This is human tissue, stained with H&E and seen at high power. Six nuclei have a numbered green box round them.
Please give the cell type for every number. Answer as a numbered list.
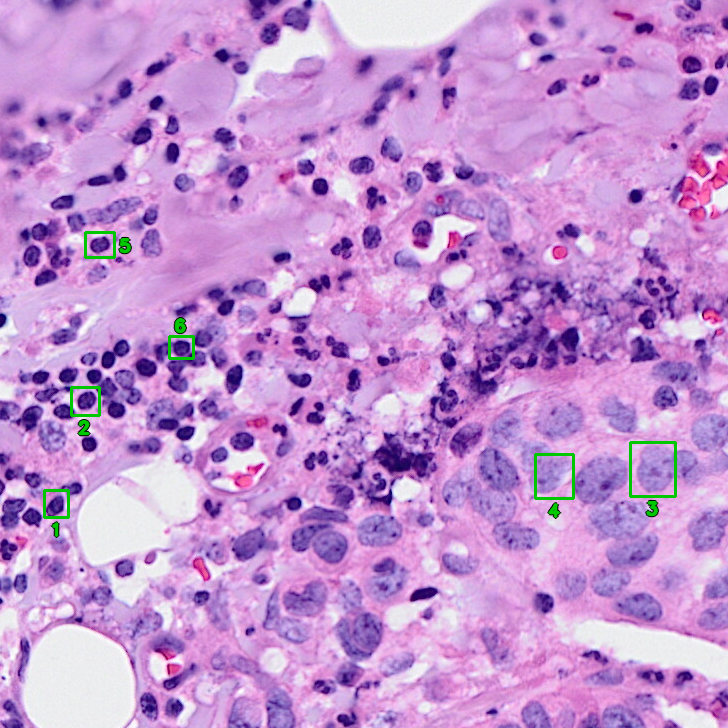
1. lymphocyte
2. lymphocyte
3. carcinoma cell
4. carcinoma cell
5. lymphocyte
6. lymphocyte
